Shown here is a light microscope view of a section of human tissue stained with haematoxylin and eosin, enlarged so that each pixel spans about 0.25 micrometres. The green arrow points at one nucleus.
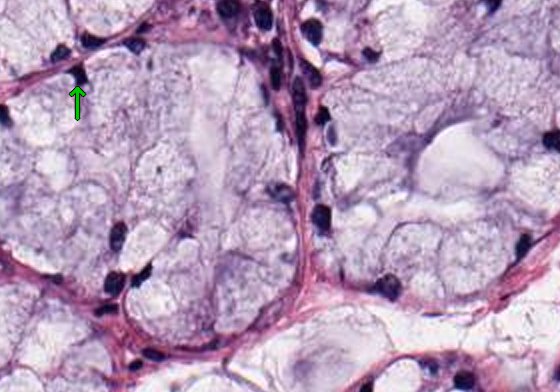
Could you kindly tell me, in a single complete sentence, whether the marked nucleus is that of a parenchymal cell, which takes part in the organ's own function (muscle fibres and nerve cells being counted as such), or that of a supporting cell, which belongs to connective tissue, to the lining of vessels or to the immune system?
The cell carrying the marked nucleus is a mucous gland cell, a parenchymal cell.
